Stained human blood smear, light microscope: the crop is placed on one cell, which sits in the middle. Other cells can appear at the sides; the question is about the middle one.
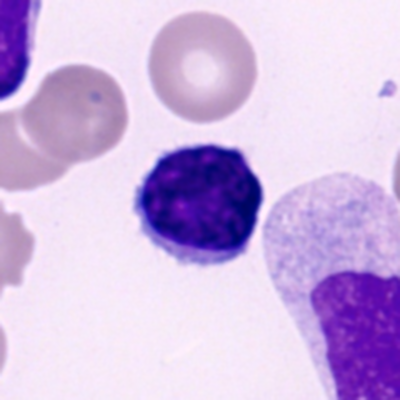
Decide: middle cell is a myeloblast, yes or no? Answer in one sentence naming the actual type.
No, looking at the central cell, it is a lymphocyte rather than a myeloblast.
